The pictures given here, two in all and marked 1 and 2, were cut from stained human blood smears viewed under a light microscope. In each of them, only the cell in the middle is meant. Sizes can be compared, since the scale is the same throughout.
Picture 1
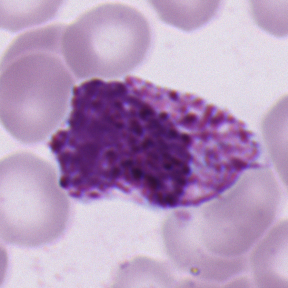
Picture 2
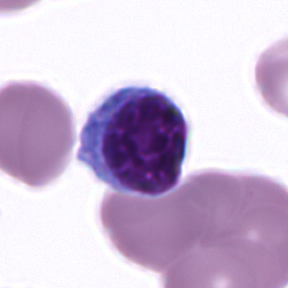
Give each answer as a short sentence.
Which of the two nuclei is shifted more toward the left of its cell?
Seen within its cell, the nucleus in picture 1 lies further toward the left.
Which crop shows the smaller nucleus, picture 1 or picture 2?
It is the nucleus in picture 2; the one in picture 1 has about 2 times its area.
